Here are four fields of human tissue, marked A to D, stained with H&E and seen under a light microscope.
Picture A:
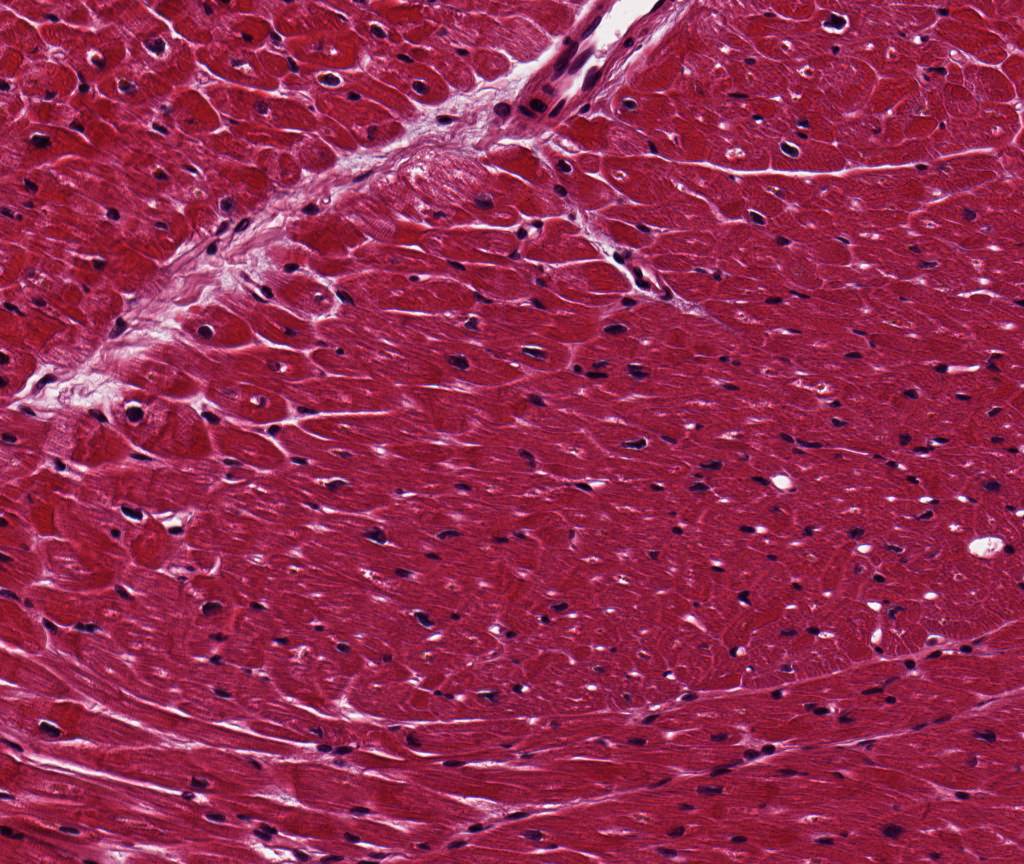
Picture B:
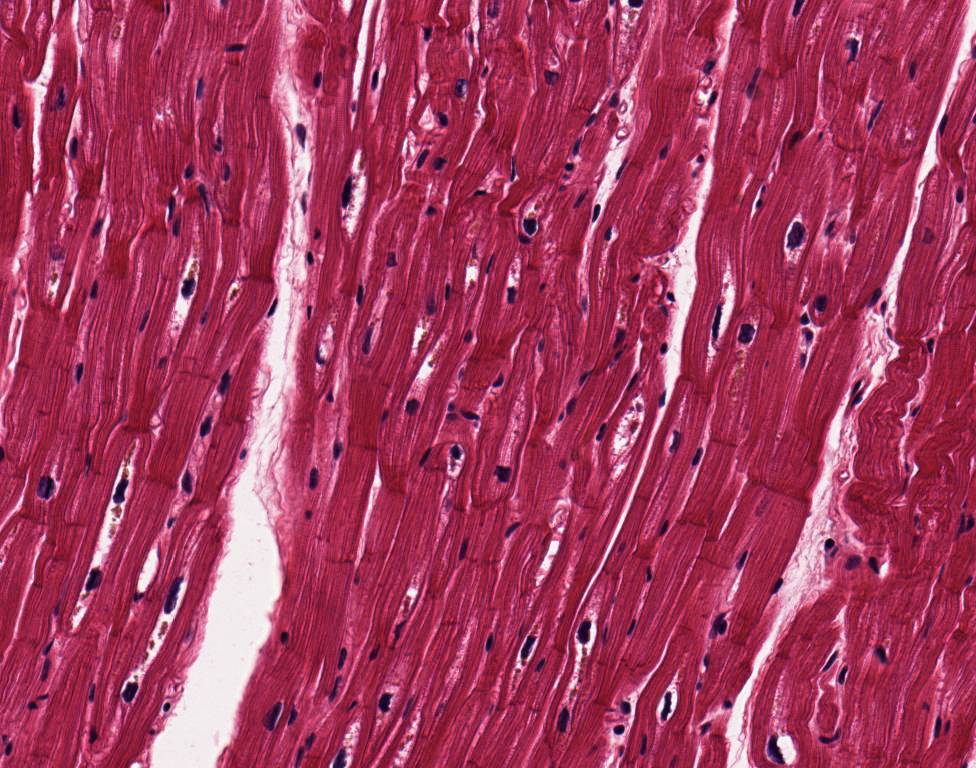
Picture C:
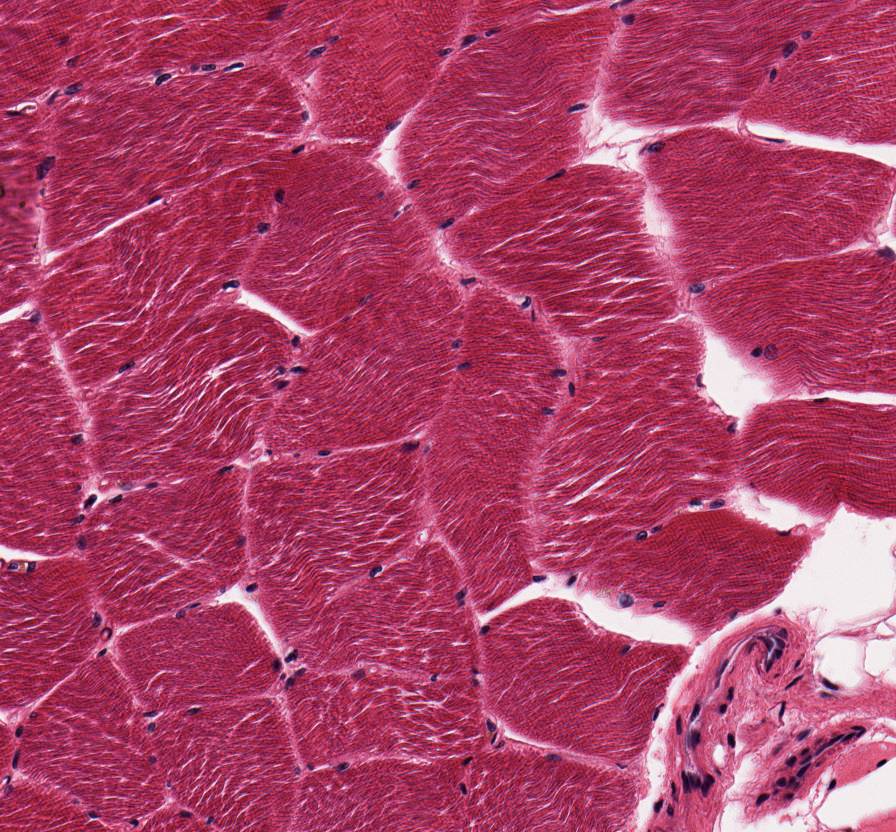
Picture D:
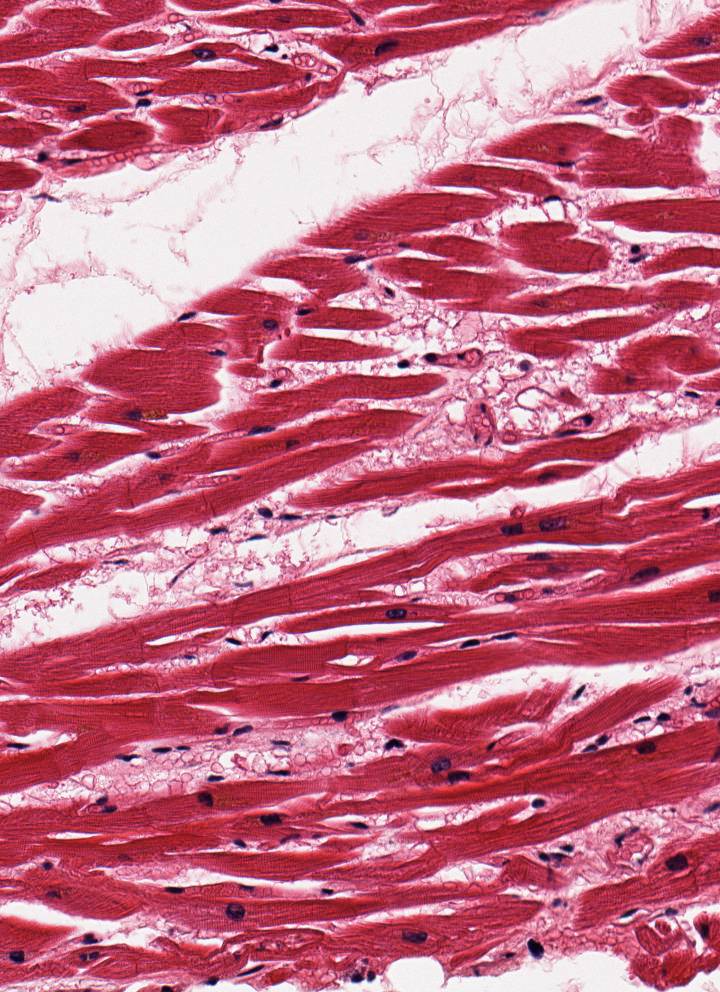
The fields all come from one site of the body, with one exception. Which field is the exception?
C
